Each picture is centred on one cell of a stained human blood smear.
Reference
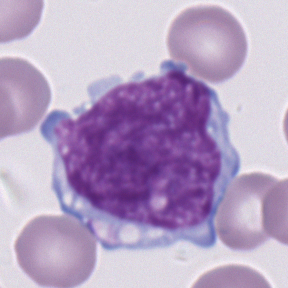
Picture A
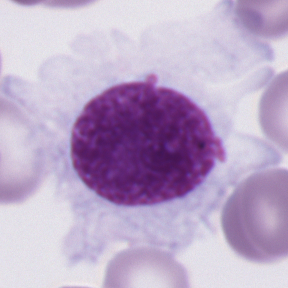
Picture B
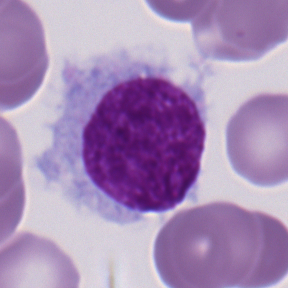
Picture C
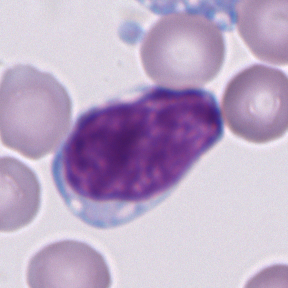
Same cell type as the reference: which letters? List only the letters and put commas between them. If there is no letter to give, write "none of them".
C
